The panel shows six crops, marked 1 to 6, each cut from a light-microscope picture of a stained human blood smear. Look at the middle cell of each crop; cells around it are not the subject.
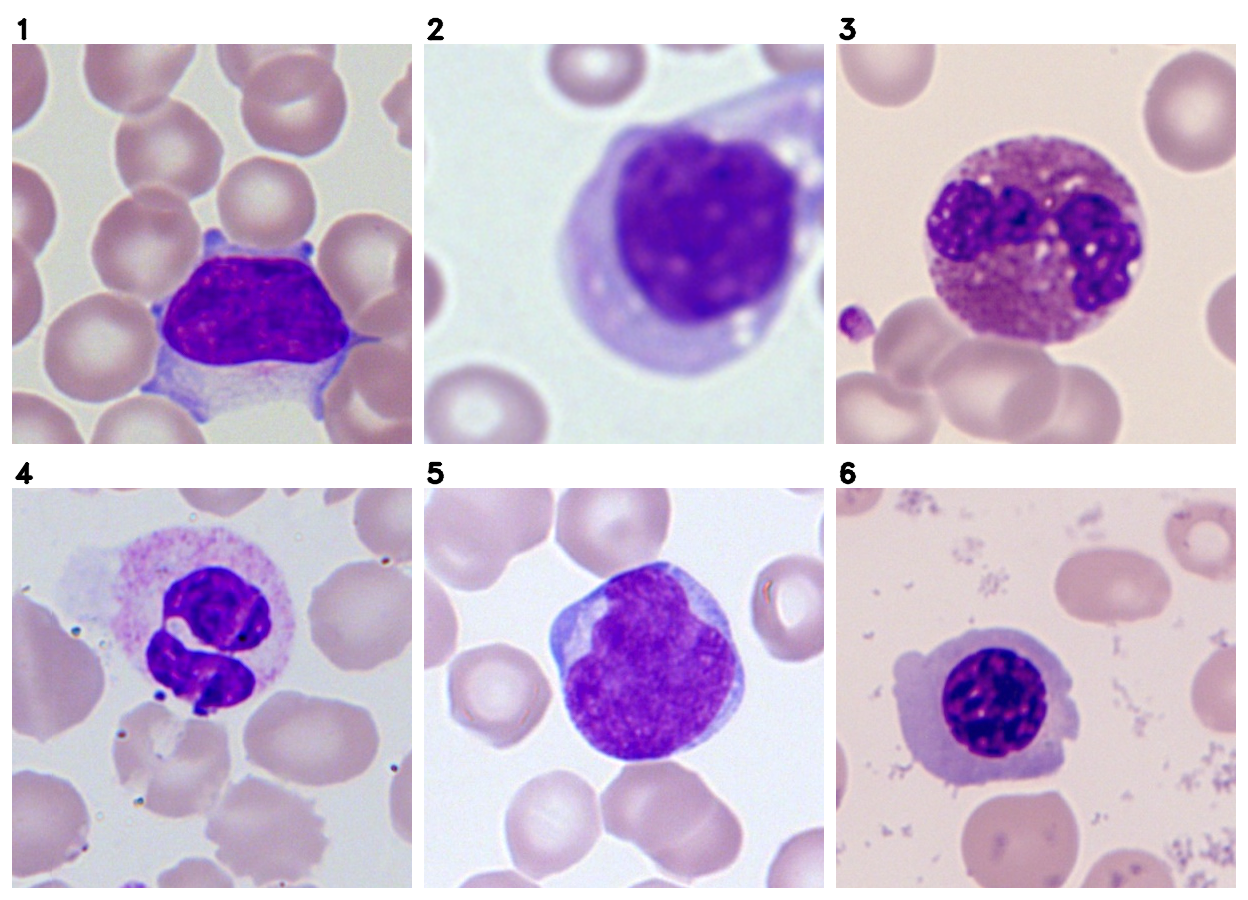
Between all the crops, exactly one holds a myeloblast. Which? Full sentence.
It is in crop 5 that a myeloblast is shown.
